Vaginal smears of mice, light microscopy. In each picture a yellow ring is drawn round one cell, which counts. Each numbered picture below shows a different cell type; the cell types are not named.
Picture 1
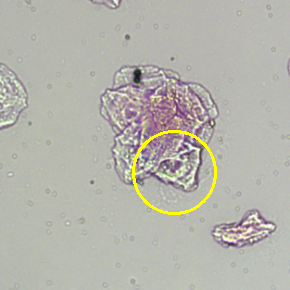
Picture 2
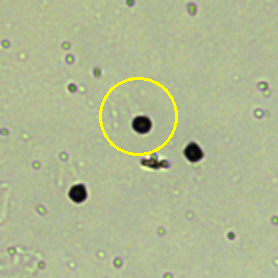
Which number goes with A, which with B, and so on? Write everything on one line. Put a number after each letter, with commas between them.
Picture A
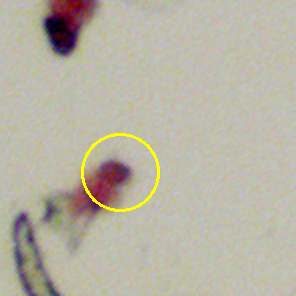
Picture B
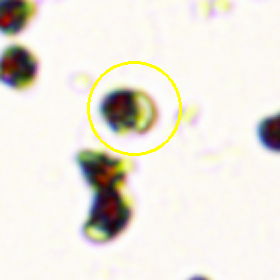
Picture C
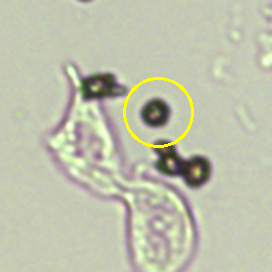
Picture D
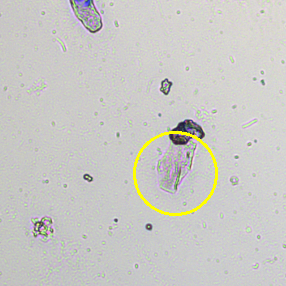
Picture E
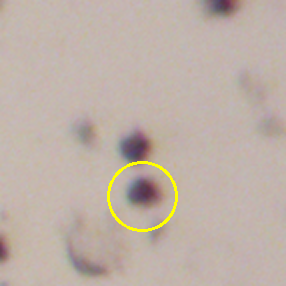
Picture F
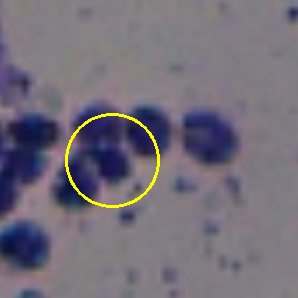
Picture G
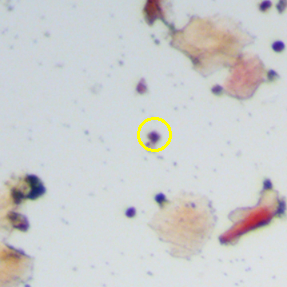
A 2, B 2, C 2, D 1, E 2, F 2, G 2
